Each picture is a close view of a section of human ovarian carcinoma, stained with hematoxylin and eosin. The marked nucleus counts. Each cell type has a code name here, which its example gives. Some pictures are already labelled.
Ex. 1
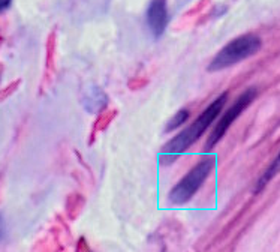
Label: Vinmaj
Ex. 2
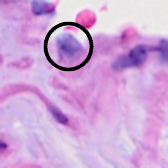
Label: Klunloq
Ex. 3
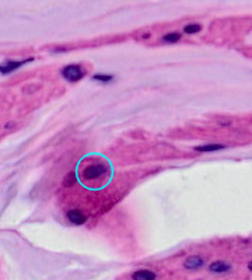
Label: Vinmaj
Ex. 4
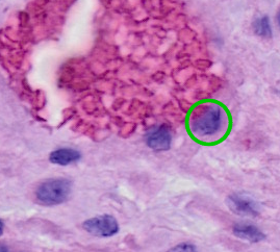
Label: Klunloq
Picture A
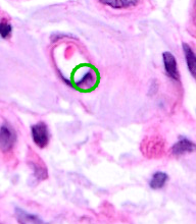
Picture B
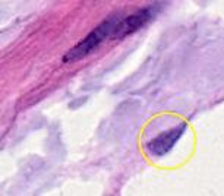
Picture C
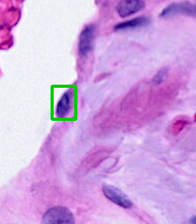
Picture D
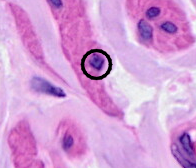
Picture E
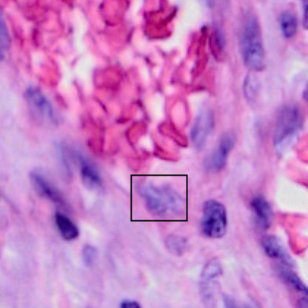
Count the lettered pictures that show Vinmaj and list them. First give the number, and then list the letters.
Count: 1 (D)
